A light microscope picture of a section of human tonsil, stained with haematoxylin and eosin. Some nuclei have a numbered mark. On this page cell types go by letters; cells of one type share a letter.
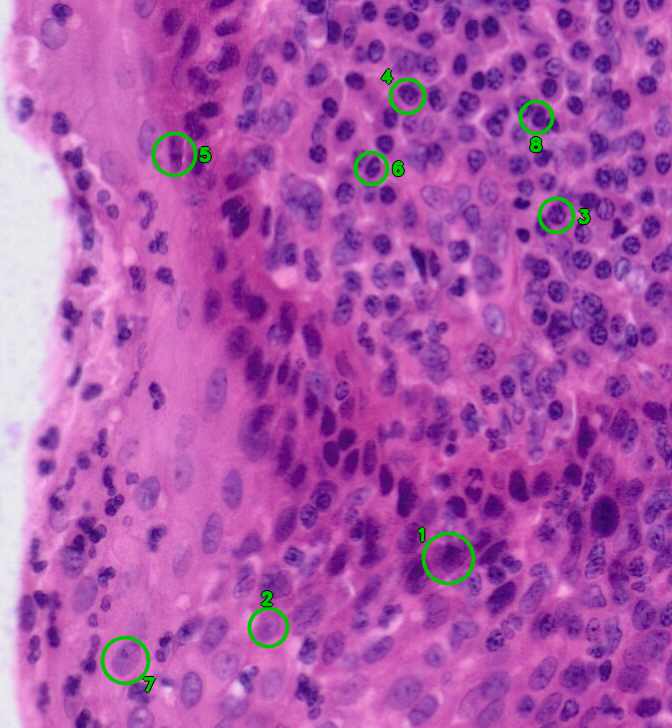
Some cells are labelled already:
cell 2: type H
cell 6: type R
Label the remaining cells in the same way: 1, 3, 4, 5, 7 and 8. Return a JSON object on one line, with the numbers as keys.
{"1": "type H", "3": "type R", "4": "type R", "5": "type H", "7": "type H", "8": "type R"}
